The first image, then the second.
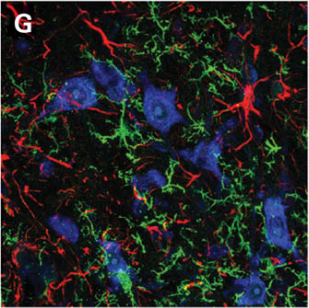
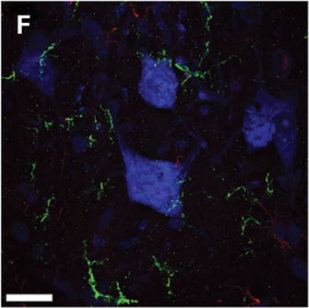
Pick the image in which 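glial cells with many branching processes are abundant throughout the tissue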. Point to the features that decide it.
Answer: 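First image: dense green and red branching processes fill the space between the blue cell bodies, with a prominent red star-shaped cell. Second image: only sparse small green processes and almost no red appear around the blue cell bodies. On this evidence: the first image.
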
